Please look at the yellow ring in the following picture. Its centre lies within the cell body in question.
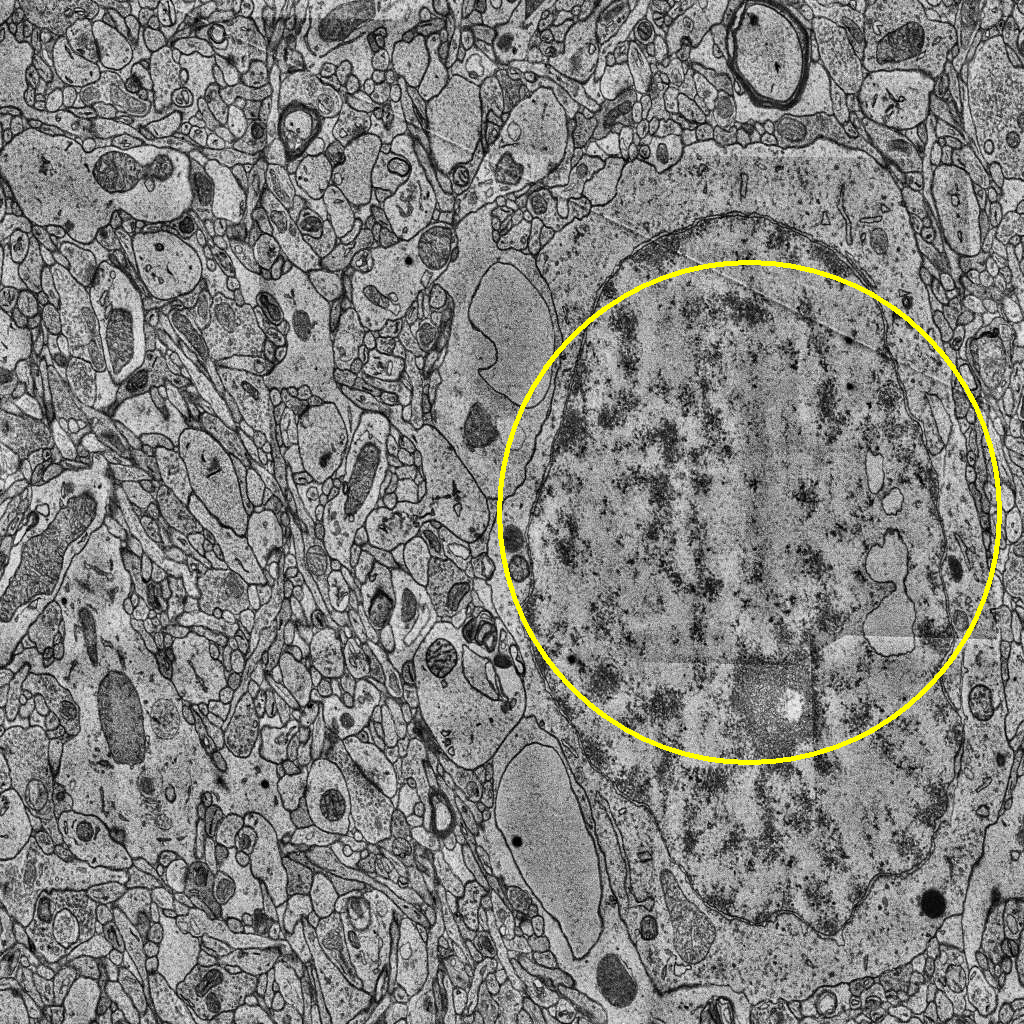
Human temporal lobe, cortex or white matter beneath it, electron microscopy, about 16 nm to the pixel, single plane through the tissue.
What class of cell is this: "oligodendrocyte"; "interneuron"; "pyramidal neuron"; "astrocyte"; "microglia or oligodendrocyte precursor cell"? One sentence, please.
The centre of the ring lies in the cell body of an interneuron.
